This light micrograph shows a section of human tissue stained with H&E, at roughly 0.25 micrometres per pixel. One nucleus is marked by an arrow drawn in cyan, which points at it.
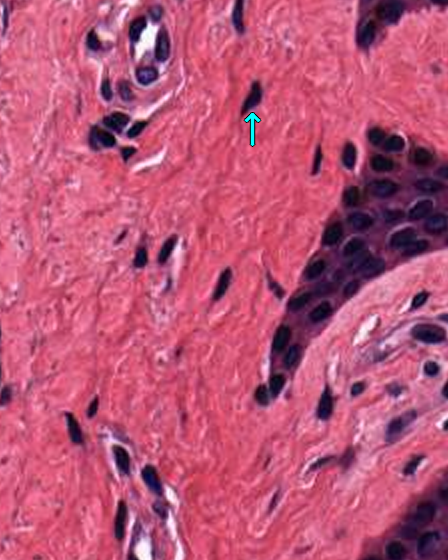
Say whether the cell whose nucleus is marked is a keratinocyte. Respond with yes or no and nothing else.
no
